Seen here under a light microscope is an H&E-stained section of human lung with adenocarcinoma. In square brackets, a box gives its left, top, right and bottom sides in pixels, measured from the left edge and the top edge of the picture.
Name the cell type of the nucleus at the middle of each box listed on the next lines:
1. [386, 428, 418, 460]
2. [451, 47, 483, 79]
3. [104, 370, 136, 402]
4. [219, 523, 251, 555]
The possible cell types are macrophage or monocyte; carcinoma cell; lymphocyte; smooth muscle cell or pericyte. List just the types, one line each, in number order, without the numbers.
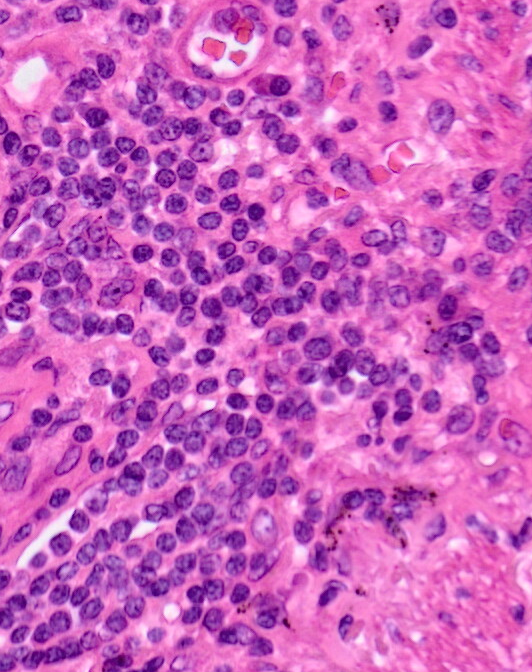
lymphocyte
smooth muscle cell or pericyte
lymphocyte
lymphocyte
